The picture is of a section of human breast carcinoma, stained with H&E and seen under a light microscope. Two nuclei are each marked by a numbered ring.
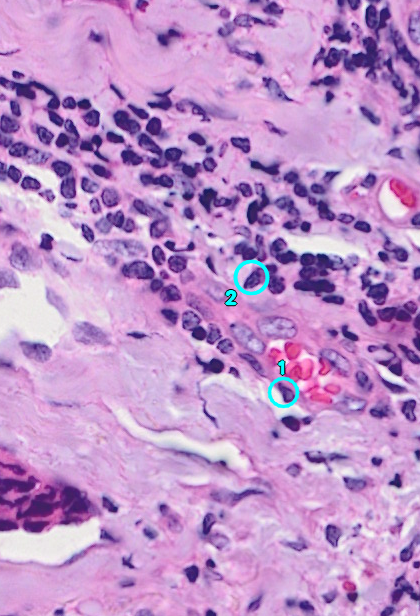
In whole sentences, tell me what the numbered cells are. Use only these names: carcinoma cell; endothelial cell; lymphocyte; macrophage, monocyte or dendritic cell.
Cell 1 is an endothelial cell. Cell 2 is a lymphocyte.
